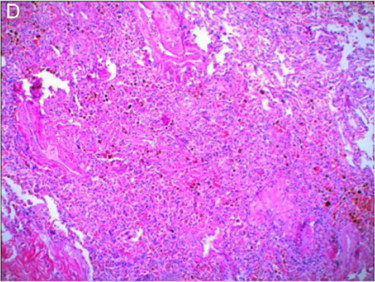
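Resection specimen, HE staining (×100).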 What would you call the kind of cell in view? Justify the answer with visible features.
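Scattered cells with brown-black granular pigment lie throughout the pink tissue. No cohesive sheets of tumor cells are seen. The answer: macrophages.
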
